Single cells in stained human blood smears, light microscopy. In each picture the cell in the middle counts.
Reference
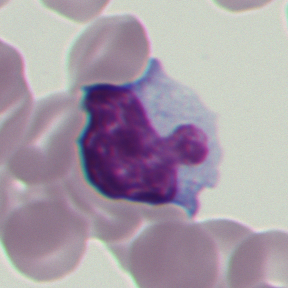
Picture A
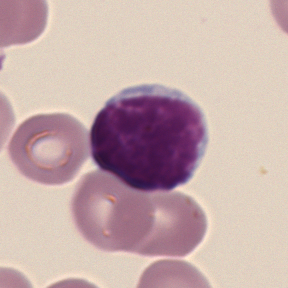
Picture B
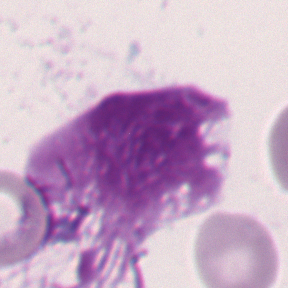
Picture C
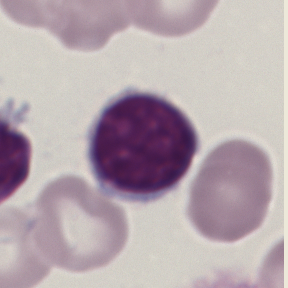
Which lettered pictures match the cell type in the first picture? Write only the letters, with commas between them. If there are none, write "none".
A, C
